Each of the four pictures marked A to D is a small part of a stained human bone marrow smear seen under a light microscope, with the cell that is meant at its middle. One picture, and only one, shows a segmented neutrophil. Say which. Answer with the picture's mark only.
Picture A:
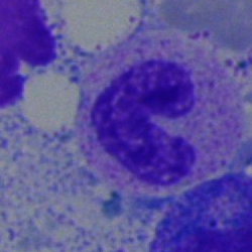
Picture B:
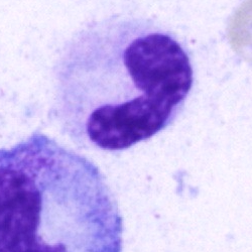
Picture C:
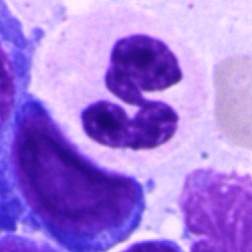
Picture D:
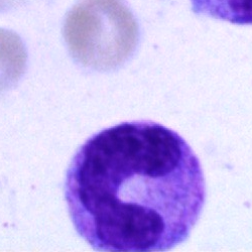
C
